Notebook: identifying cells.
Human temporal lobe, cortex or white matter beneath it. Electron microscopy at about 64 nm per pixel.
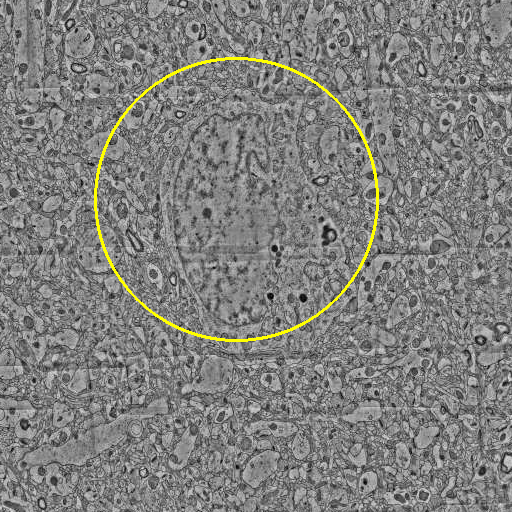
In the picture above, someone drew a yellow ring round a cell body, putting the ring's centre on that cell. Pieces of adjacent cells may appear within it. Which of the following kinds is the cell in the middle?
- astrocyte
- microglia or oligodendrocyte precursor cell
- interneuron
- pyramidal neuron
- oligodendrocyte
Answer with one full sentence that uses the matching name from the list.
In this picture, the yellow ring is centred on the body of an interneuron.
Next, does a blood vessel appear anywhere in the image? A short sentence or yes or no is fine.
No, none shows.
